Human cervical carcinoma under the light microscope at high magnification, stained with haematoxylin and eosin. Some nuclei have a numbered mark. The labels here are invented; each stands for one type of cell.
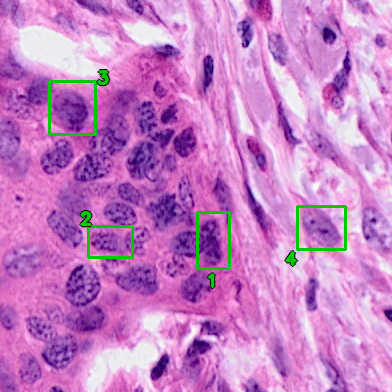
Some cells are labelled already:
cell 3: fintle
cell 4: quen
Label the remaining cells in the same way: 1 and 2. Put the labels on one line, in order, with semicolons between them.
fintle; fintle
